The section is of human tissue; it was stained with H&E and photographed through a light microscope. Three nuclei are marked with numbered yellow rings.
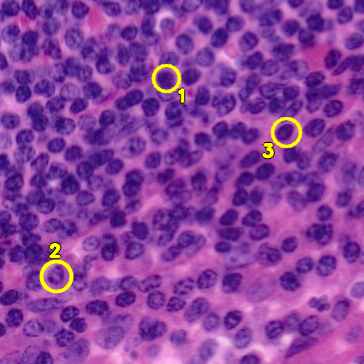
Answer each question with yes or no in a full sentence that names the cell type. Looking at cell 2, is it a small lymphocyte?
No, the cell under number 2 is a plasma cell instead of a small lymphocyte.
